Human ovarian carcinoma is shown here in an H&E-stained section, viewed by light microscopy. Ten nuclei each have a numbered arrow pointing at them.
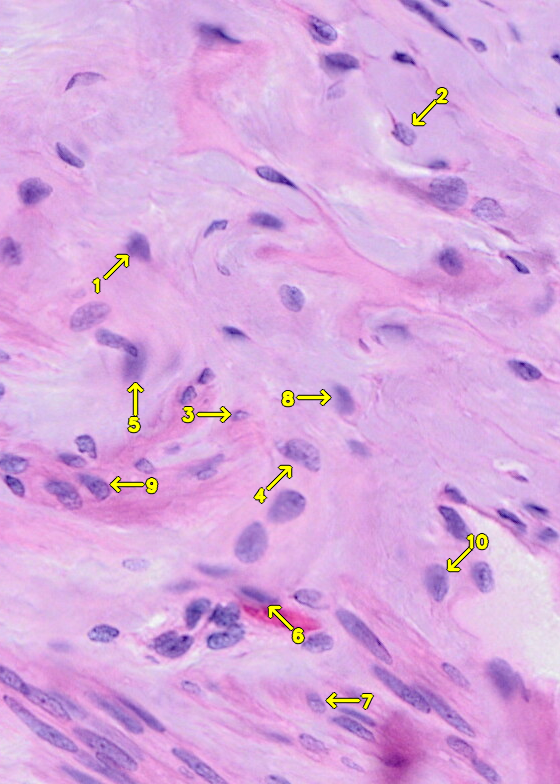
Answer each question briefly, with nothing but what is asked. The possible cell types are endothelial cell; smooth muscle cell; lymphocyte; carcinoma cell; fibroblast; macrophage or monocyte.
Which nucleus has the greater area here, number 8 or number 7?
8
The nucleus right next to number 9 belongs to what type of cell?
smooth muscle cell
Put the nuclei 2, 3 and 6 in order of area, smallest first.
3, 2, 6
